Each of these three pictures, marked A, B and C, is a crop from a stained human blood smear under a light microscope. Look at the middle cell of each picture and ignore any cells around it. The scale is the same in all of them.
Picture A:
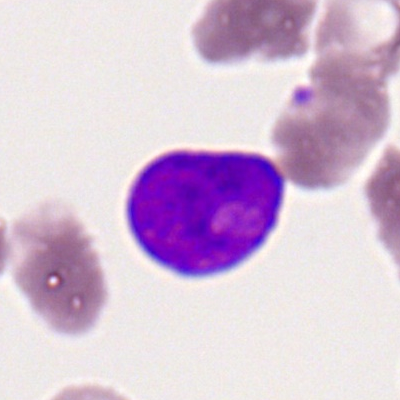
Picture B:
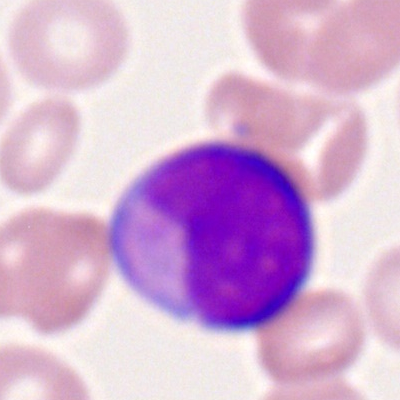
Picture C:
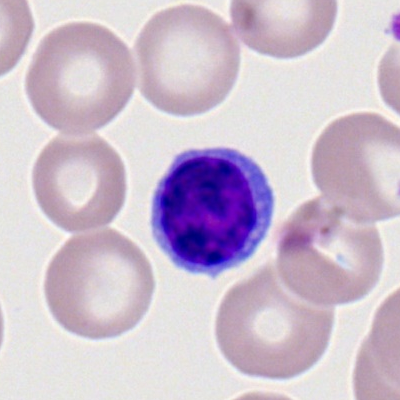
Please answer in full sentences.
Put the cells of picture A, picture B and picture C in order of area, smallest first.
From the smallest up, the order is C, A, B.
